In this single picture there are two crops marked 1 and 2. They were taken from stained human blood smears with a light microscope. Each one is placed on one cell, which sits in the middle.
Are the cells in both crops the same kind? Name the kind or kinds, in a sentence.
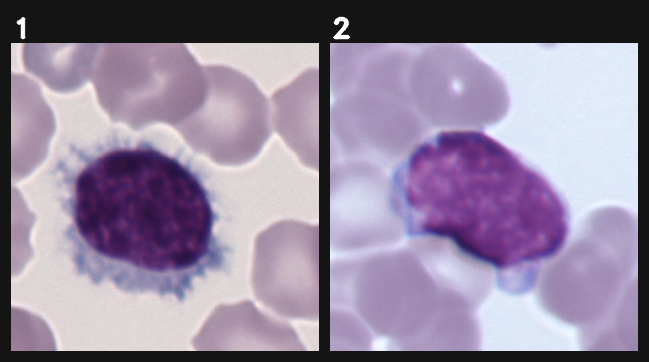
No, crop 1 shows a hairy cell, whereas a large granular lymphocyte is what crop 2 shows.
